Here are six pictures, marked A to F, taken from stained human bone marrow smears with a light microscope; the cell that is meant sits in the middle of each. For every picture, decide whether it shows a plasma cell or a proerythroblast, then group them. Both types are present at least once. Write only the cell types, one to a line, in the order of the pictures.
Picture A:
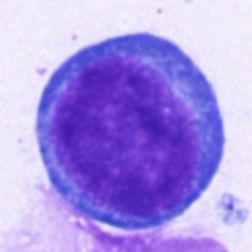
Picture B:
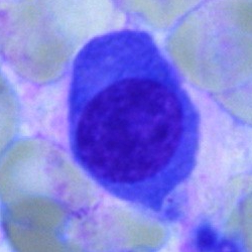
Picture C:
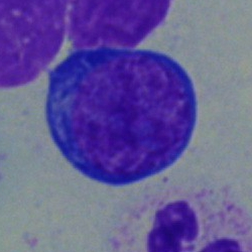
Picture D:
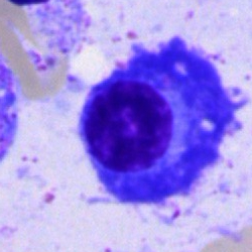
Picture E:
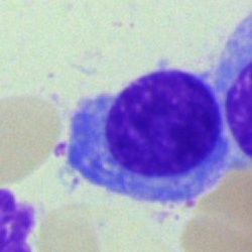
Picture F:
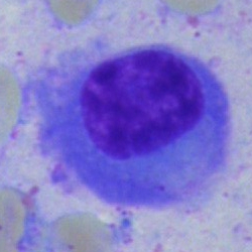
proerythroblast
plasma cell
proerythroblast
plasma cell
plasma cell
plasma cell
